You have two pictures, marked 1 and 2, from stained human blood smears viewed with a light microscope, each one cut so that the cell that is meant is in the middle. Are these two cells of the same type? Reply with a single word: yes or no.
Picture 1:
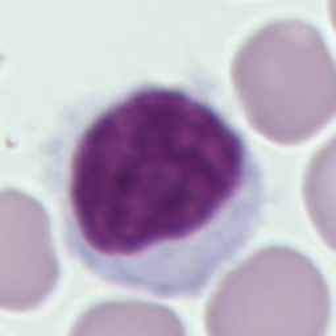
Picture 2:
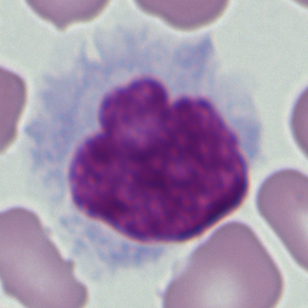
yes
